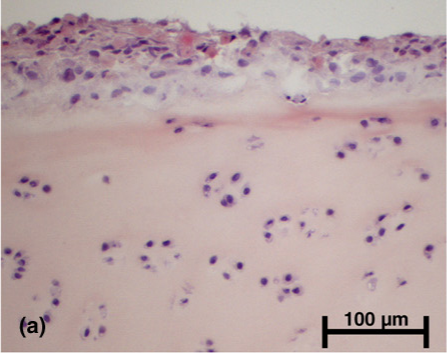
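The upper part of the image is a dense, several-cell-thick layer of cells with oval to spindle-shaped purple nuclei and pinkish cytoplasm, loosely arranged and with some pale gaps beneath it. Below, a smooth pale pink matrix makes up most of the field, and within it chondrocytes sit in lacunae, with round dark purple nuclei, grouped in pairs and small clusters. The cartilage surface just beneath the cell layer stains a slightly deeper pink.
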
